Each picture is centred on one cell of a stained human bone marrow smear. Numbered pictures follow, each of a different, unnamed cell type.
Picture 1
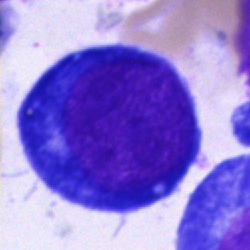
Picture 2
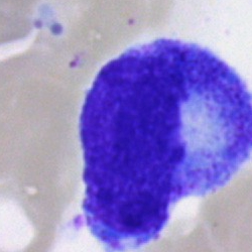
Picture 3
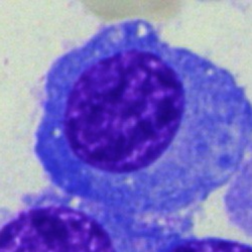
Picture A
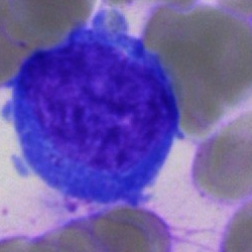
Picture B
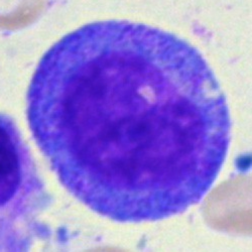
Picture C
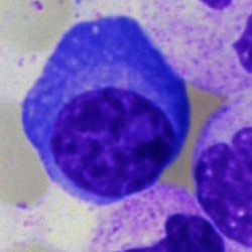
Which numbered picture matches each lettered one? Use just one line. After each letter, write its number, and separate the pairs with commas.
A 1, B 2, C 3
